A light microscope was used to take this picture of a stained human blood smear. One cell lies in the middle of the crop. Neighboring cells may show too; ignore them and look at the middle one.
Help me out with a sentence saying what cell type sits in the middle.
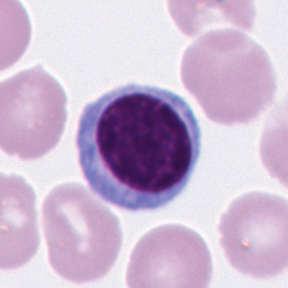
At the middle of the frame sits a lymphocyte.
